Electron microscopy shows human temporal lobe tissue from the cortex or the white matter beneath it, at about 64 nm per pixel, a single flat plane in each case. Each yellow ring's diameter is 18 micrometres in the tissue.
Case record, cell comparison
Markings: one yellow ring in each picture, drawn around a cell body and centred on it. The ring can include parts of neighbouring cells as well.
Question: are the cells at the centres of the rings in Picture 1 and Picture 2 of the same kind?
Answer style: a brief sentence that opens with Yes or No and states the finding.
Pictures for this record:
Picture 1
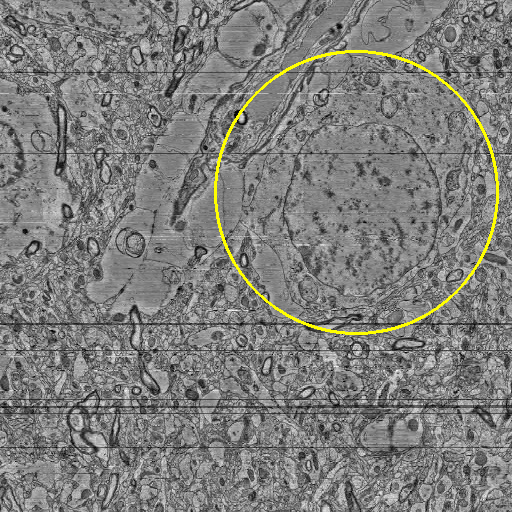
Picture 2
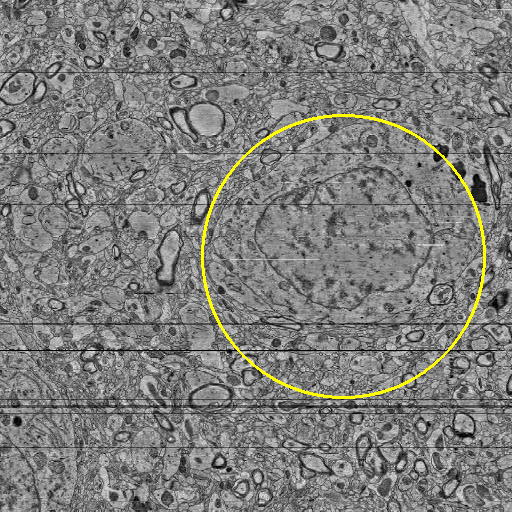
Yes, the cells in Picture 1 and Picture 2 are of the same kind.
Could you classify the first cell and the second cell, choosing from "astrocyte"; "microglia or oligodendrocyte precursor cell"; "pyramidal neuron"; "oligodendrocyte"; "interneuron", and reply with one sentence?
The cell at the ring centre is a pyramidal neuron in both pictures.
